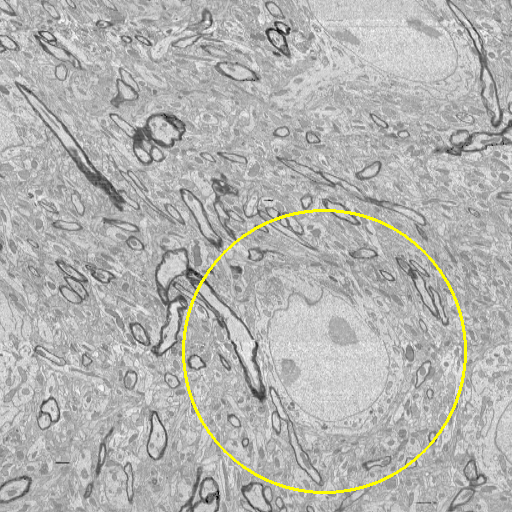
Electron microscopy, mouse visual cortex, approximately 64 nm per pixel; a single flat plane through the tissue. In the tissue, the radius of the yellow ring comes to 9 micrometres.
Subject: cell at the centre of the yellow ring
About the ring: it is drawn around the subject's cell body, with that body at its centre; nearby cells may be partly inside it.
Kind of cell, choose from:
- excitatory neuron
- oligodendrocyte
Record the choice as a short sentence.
The subject cell is an excitatory neuron.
